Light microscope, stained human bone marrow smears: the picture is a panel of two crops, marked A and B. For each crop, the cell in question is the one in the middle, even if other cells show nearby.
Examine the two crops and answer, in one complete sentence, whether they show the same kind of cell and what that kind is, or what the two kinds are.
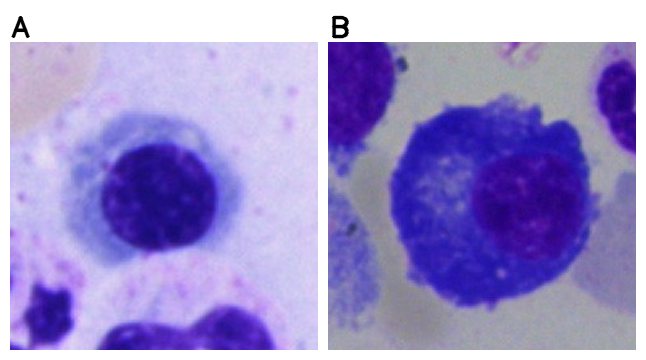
No, a normoblast lies at the centre of crop A, and a plasma cell lies at the centre of crop B.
